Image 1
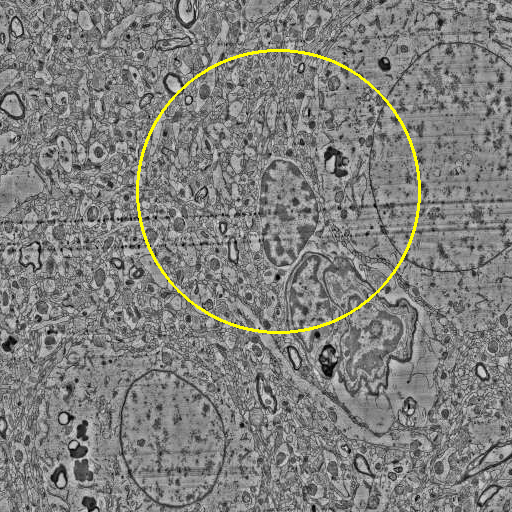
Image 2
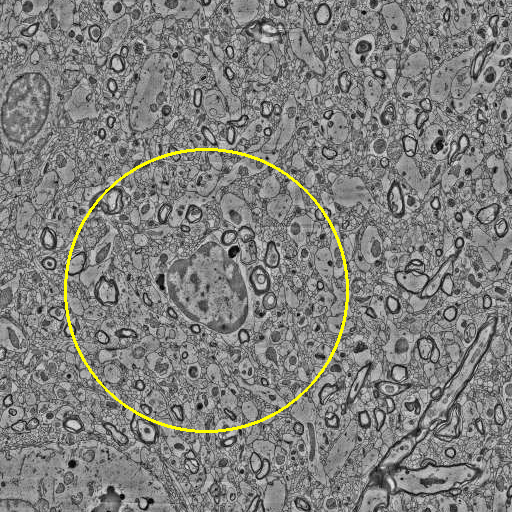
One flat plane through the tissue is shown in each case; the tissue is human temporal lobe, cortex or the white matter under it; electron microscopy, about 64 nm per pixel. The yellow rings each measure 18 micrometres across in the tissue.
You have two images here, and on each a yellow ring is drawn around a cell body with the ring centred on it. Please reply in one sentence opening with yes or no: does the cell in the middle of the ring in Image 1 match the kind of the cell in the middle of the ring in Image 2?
Yes, the two images show cells of one kind at the centres of their rings.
